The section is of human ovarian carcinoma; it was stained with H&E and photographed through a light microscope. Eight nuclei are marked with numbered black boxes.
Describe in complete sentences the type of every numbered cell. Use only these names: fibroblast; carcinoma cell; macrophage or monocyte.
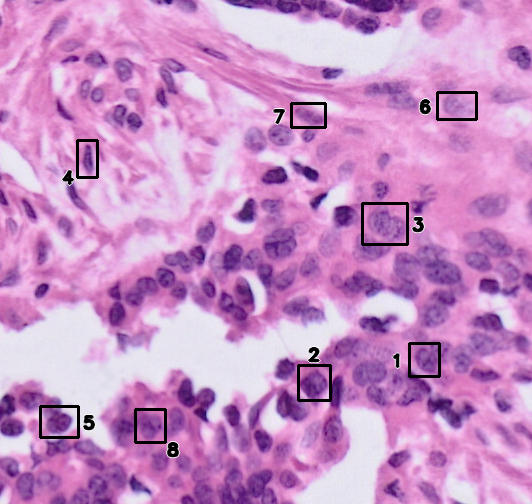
Cell 1 is a carcinoma cell, cell 2 is a carcinoma cell, cell 3 is a carcinoma cell, cell 4 is a fibroblast, cell 5 is a carcinoma cell, cell 6 is a fibroblast, cell 7 is a fibroblast and cell 8 is a carcinoma cell.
